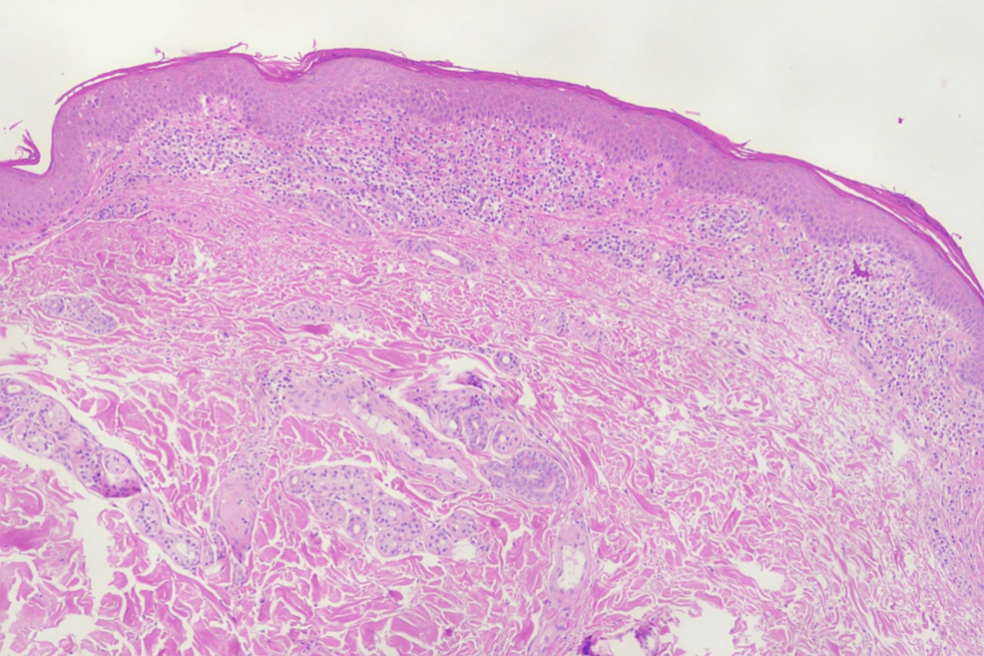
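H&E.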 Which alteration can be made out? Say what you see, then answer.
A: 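A band of densely packed small cells with dark nuclei runs parallel to the surface, just under the epithelium. The band follows the length of the epithelium across the panel. The deeper connective tissue holds far fewer such cells.
Answer: linear aggregation of histiocytes and lymphocytes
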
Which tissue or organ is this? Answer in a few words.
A: Skin.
